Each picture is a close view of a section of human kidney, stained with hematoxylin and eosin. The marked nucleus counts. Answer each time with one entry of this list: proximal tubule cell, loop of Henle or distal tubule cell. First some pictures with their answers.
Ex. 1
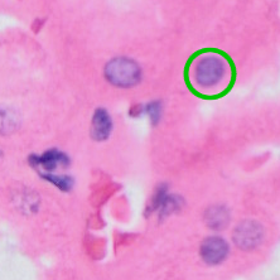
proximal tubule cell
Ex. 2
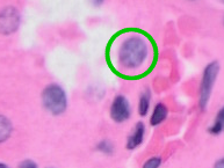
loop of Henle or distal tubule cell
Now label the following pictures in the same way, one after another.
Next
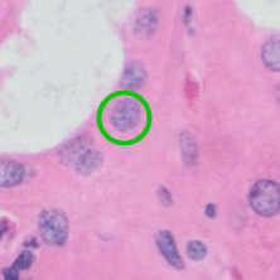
loop of Henle or distal tubule cell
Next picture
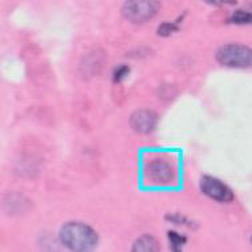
loop of Henle or distal tubule cell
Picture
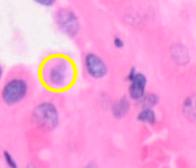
loop of Henle or distal tubule cell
